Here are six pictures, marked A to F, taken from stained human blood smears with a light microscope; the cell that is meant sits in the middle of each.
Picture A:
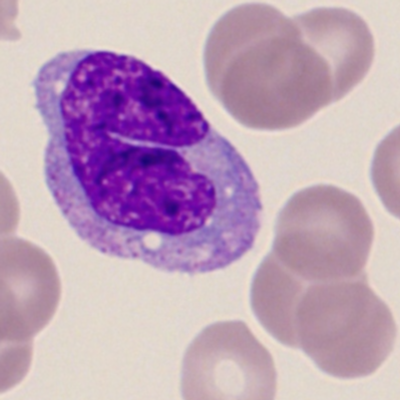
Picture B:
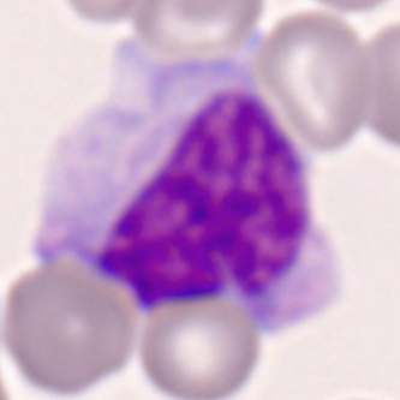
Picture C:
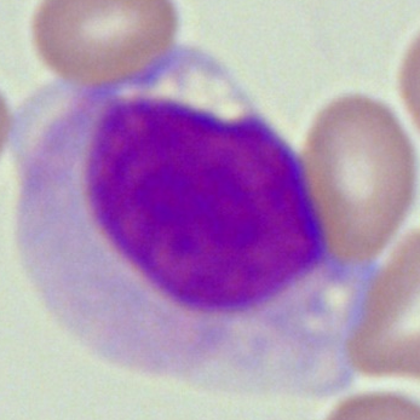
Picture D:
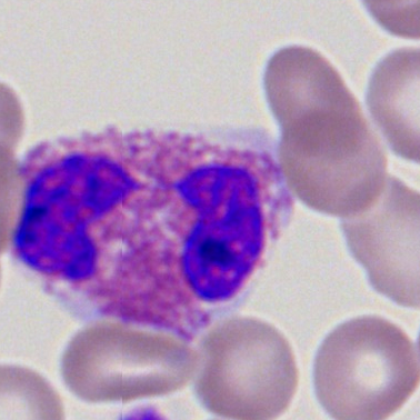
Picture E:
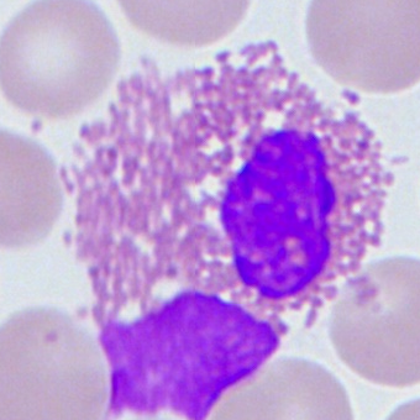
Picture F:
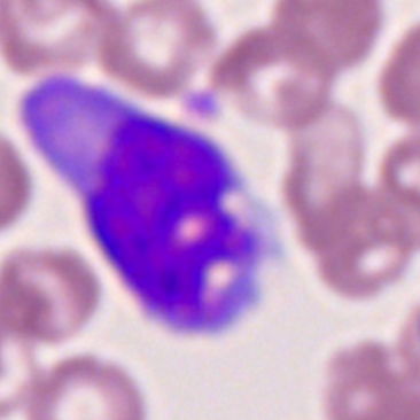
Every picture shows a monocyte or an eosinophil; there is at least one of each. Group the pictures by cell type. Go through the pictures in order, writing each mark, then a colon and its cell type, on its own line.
A: monocyte
B: monocyte
C: monocyte
D: eosinophil
E: eosinophil
F: monocyte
